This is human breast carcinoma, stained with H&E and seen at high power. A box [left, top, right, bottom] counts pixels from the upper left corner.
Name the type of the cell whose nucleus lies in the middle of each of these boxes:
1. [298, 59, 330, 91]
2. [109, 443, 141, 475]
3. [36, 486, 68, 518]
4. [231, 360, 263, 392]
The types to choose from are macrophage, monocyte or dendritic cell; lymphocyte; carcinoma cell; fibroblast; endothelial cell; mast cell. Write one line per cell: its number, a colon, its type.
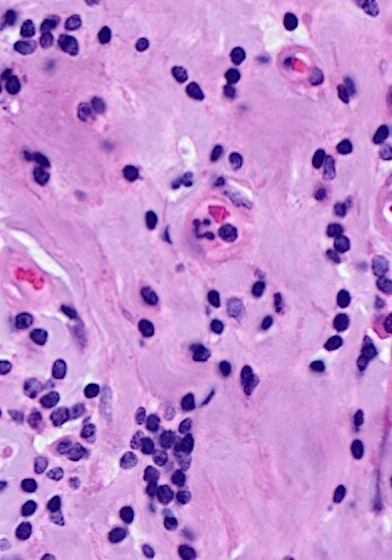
1: endothelial cell
2: lymphocyte
3: lymphocyte
4: lymphocyte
